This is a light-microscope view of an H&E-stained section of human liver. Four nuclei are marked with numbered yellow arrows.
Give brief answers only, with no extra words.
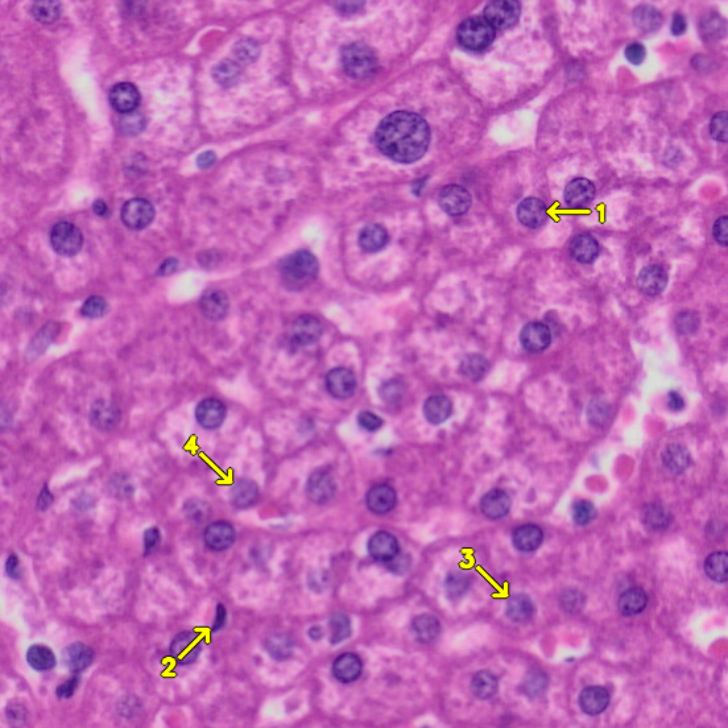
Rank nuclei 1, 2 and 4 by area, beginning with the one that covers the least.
2, 4, 1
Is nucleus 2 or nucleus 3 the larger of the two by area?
3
